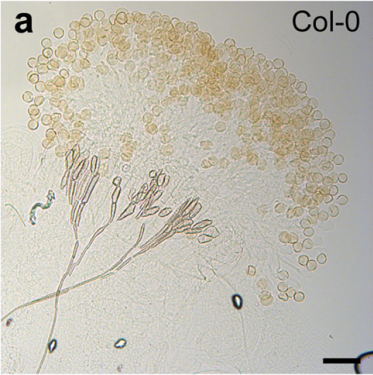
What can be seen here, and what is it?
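A pollinated stigma is seen in brightfield, with many pollen grains adhered to the stigmatic papillae. The pollen grains are small, round and of even size, with a distinct wall and a pale yellow-brown tint, and they form a broad dome over the upper part of the stigma. Below them, elongated club-shaped papillae fan out from thin stalks at the lower left. The tissue between the grains is pale and largely transparent.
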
